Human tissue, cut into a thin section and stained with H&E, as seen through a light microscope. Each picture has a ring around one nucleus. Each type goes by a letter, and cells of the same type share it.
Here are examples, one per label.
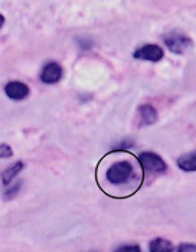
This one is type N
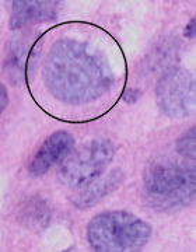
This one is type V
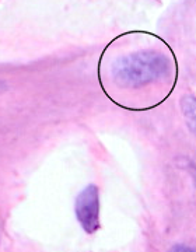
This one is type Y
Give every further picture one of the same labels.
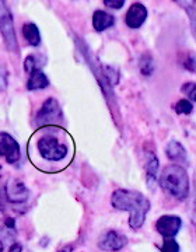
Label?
type N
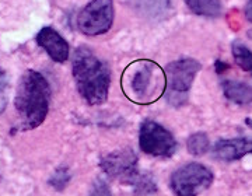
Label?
type V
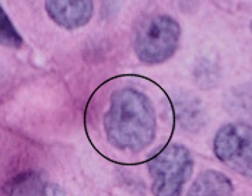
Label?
type V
